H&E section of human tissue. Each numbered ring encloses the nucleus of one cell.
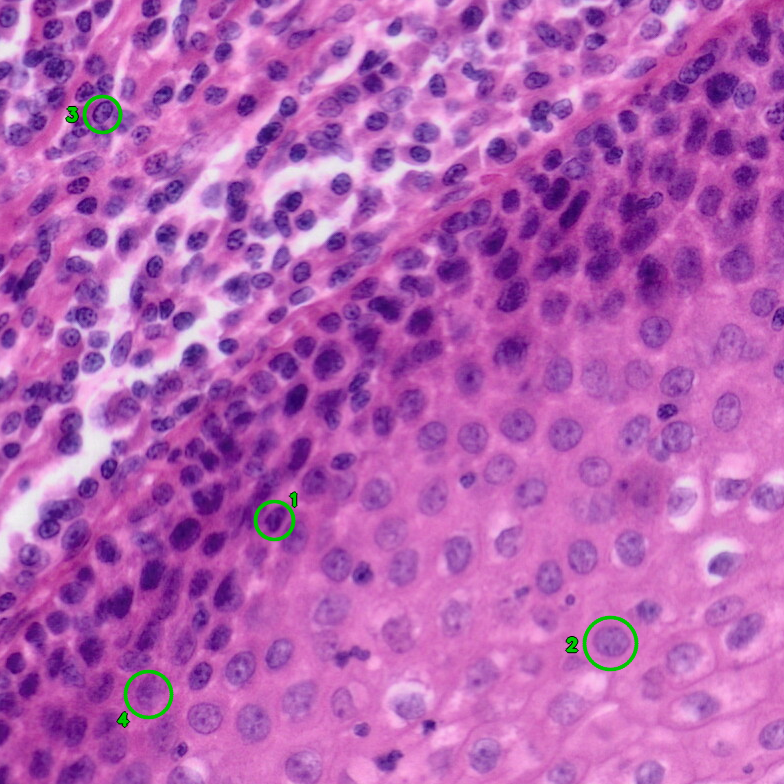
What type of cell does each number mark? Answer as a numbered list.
1. squamous epithelial cell
2. squamous epithelial cell
3. plasma cell
4. squamous epithelial cell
